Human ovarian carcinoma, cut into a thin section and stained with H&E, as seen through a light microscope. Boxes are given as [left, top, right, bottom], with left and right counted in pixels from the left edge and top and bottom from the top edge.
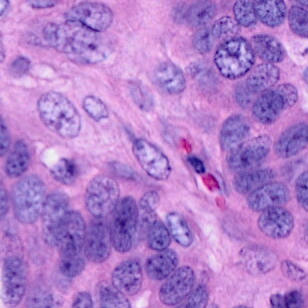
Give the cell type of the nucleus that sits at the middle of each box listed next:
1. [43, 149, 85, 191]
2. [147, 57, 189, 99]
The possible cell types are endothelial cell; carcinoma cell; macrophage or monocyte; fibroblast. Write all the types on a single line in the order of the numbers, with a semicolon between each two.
macrophage or monocyte; fibroblast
